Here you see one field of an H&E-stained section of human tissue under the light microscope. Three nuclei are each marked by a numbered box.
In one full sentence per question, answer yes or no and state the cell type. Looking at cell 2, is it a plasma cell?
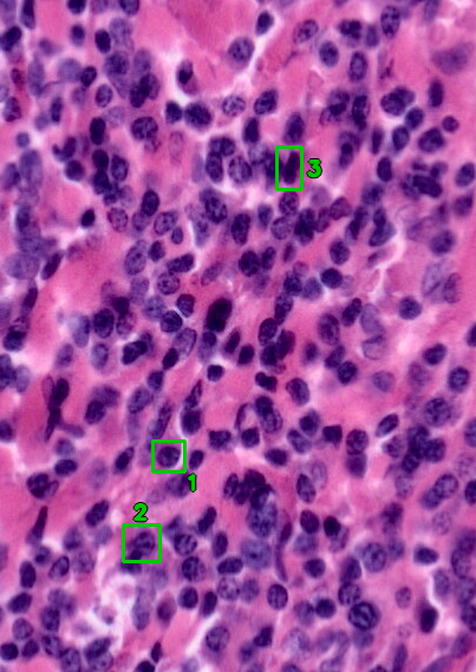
Yes, the cell carrying number 2 is a plasma cell.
